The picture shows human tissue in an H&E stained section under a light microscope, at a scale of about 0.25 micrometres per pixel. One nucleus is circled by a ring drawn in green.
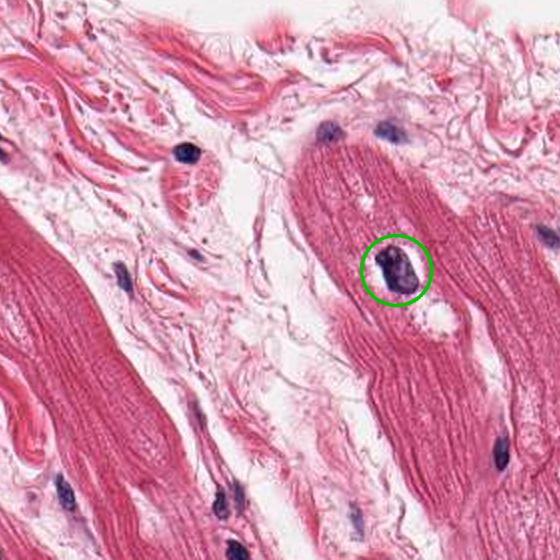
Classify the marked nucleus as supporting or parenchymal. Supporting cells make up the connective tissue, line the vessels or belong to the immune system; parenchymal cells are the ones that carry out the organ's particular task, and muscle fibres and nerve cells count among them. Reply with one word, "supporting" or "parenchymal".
parenchymal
